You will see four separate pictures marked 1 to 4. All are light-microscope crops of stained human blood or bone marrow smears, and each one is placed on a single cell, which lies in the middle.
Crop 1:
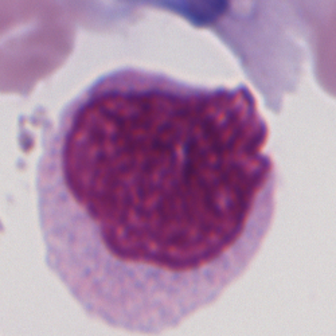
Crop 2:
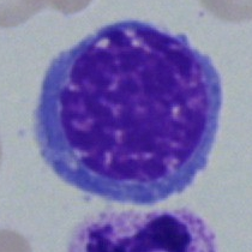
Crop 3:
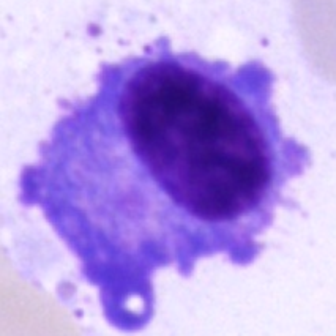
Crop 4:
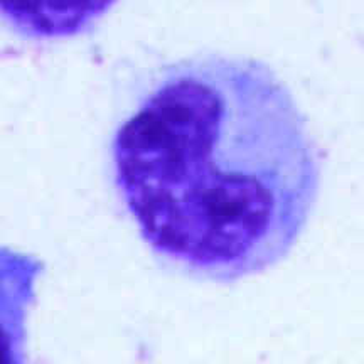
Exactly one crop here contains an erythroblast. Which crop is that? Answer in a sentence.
Among these crops, crop 2 holds an erythroblast.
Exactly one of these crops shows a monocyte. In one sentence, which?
Among the crops provided, a monocyte occupies the center of crop 1.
